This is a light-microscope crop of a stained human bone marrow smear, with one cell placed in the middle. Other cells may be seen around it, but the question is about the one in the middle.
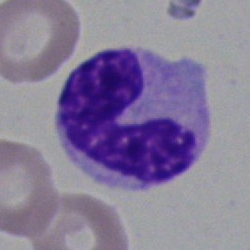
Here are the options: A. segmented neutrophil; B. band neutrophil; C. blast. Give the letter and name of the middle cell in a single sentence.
The middle of the crop contains a band neutrophil, so option B is right.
